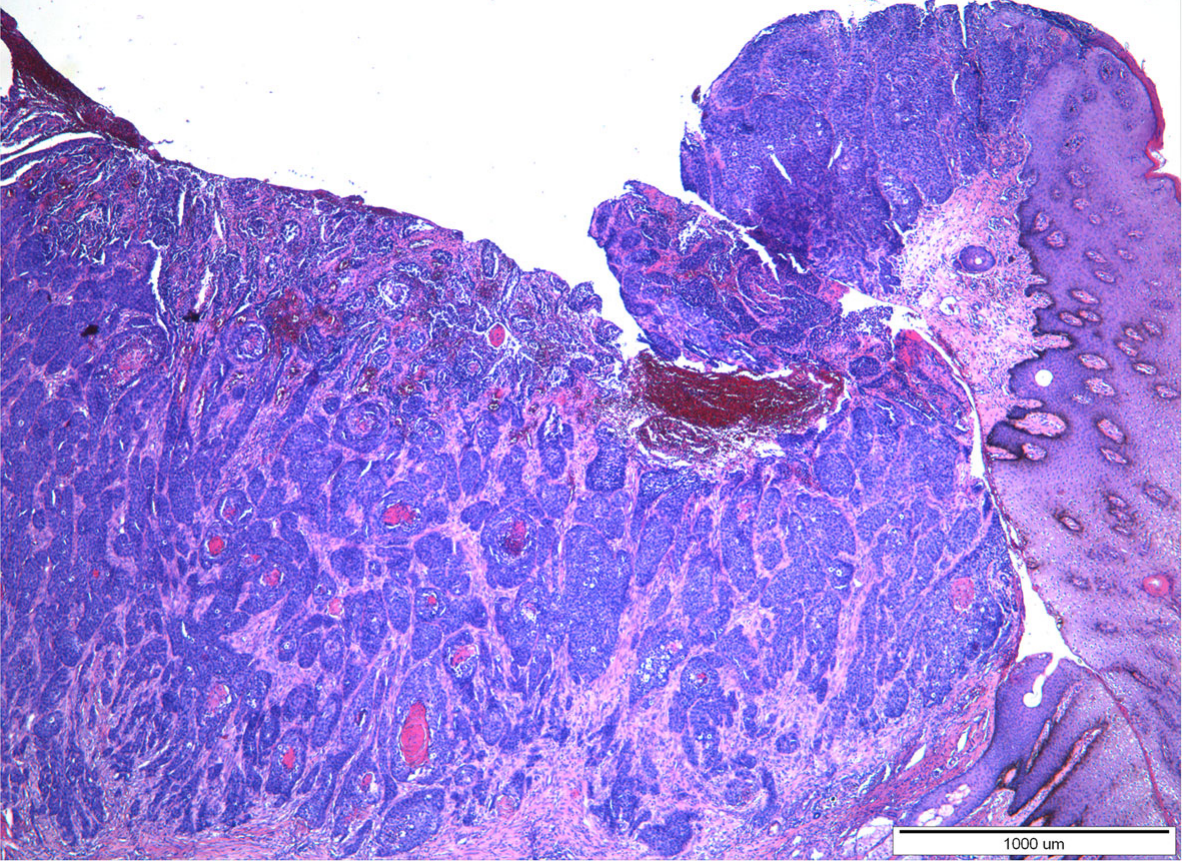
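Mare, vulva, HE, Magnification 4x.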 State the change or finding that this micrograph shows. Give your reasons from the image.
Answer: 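Purple-staining epithelial nests fill the stroma below the surface. Several nests contain pink keratinised centres. Nests are irregular and lack a capsule, set in pink fibrous stroma.
Squamous cell carcinoma.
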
